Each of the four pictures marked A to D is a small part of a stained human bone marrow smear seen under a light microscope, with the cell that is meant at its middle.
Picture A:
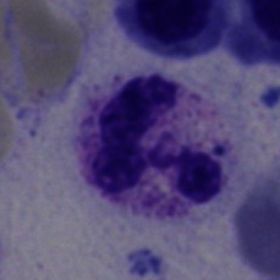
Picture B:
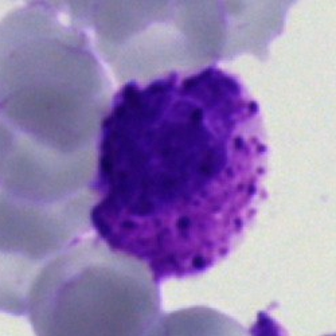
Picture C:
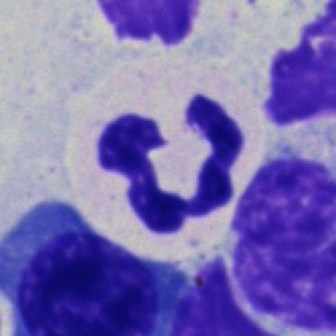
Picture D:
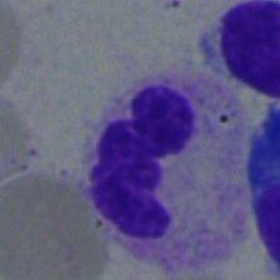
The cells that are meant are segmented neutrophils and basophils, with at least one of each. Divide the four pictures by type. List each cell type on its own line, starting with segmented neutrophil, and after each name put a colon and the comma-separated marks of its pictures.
segmented neutrophil: A, C, D
basophil: B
